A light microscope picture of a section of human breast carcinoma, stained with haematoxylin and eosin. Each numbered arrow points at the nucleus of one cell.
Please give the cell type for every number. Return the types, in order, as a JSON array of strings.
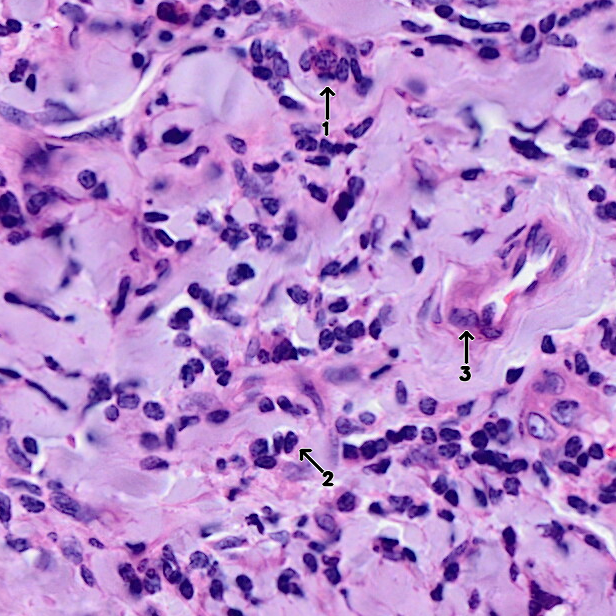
["lymphocyte", "lymphocyte", "endothelial cell"]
